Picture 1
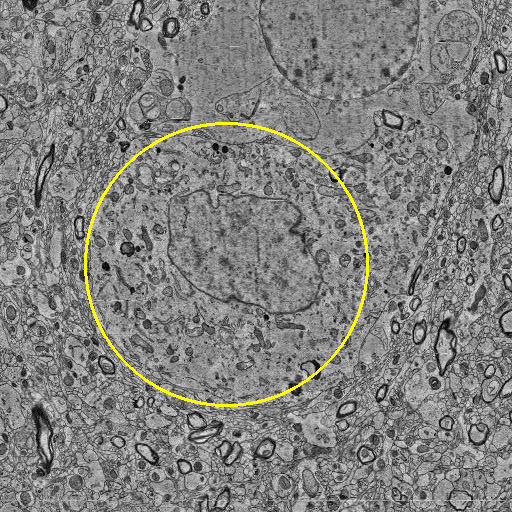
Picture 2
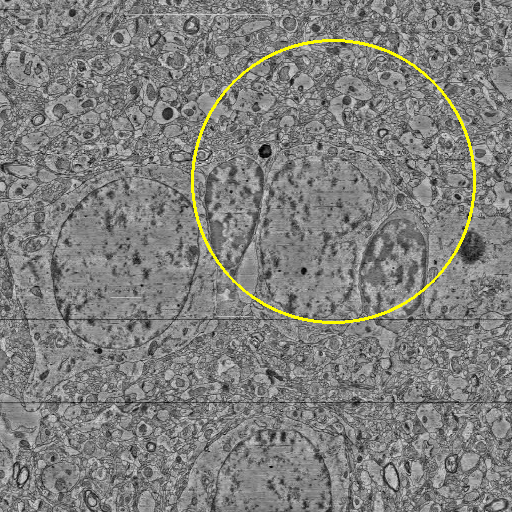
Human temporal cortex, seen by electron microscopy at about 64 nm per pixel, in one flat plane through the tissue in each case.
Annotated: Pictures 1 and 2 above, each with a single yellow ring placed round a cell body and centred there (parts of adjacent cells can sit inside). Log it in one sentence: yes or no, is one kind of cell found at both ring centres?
No, the ring centres of the two pictures hold cells of two kinds.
